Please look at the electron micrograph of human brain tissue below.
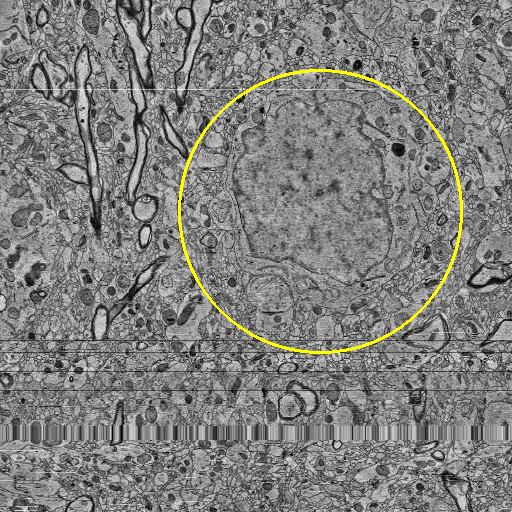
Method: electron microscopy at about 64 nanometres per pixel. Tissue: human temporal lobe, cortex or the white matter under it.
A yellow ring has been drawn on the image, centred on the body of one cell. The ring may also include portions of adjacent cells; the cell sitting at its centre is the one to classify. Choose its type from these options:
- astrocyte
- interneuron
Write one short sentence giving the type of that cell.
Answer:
The cell in the middle of the ring is an interneuron.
